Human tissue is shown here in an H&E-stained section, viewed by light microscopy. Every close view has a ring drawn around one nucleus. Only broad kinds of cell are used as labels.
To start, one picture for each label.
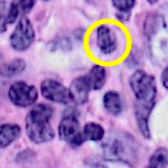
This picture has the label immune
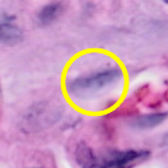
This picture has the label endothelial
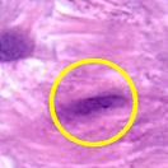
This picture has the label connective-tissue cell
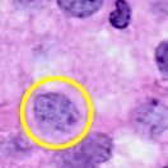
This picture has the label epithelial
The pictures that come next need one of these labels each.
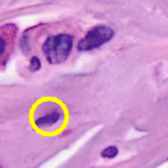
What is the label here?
connective-tissue cell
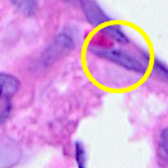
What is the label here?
endothelial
